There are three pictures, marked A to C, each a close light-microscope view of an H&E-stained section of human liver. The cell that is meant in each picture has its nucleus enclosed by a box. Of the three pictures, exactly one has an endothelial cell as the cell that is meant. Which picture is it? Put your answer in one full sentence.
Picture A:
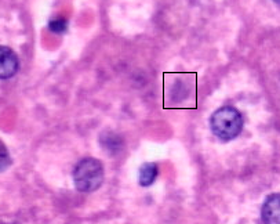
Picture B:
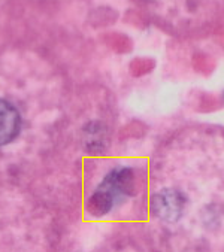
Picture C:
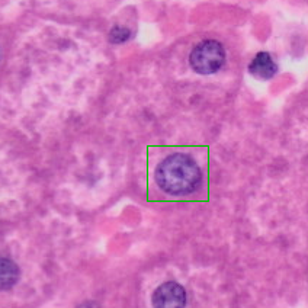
The endothelial cell is the one in picture B.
